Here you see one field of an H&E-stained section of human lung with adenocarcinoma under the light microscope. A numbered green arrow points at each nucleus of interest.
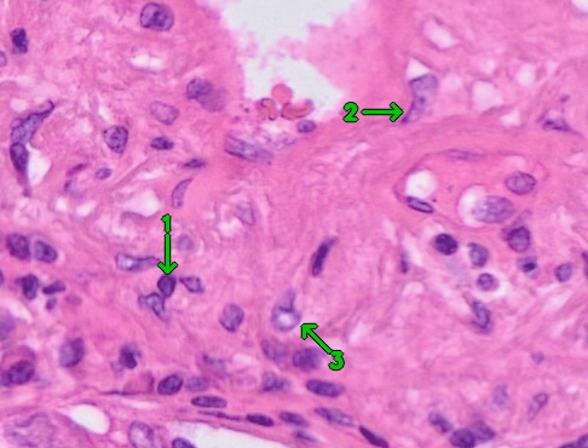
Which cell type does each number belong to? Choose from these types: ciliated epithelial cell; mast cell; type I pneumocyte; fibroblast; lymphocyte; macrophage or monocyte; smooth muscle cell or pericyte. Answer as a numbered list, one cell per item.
1. lymphocyte
2. fibroblast
3. fibroblast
